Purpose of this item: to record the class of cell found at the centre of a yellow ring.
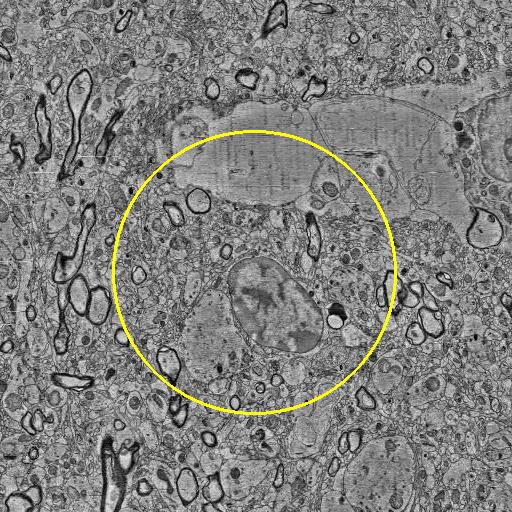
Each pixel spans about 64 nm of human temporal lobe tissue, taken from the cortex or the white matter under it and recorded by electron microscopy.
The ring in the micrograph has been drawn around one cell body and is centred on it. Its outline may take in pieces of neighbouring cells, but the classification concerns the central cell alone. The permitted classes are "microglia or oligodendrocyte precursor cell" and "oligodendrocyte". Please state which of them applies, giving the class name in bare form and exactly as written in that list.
microglia or oligodendrocyte precursor cell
